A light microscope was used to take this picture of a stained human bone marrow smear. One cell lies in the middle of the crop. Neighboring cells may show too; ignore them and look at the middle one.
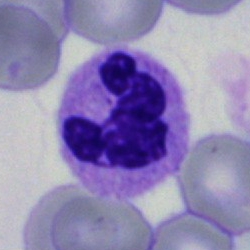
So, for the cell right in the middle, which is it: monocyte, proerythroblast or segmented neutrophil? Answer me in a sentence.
Within this crop, a segmented neutrophil occupies the central position.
